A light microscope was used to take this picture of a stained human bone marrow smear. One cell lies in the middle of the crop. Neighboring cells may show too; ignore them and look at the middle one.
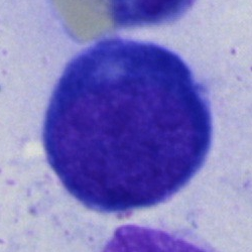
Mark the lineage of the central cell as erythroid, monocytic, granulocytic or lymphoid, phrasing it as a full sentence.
The centered cell is one of the erythroid lineage.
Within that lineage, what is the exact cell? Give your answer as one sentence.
The target cell in the middle of the crop is a proerythroblast.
